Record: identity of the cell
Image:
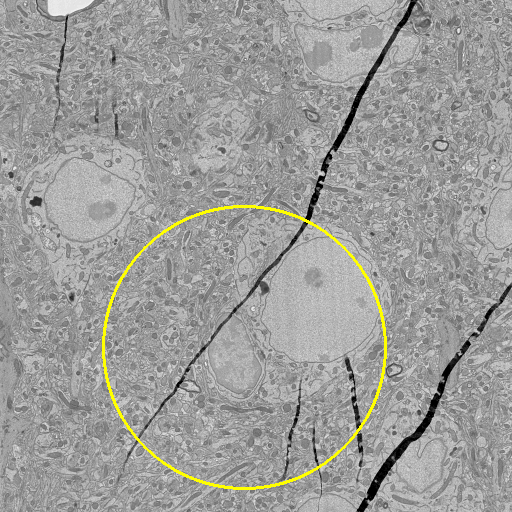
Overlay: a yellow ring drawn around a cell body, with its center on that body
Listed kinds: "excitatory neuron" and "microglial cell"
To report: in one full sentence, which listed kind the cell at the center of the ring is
In the image, the cell body at the ring's center belongs to a microglial cell.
